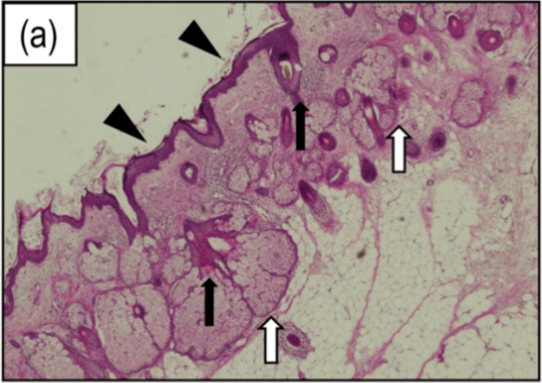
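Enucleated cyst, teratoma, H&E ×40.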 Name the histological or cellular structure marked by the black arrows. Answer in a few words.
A: hair follicles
